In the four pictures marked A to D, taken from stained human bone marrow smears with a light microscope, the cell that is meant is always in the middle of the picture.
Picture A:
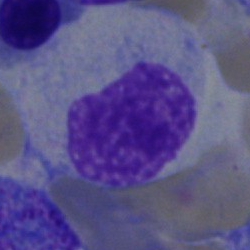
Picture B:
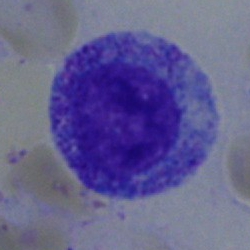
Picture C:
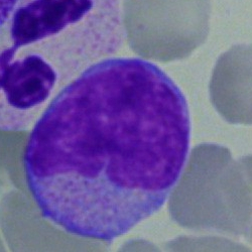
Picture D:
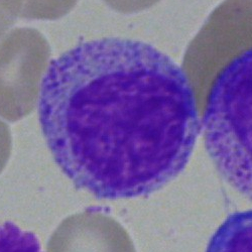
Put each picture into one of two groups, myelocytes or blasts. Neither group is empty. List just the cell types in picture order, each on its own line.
myelocyte
myelocyte
blast
myelocyte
